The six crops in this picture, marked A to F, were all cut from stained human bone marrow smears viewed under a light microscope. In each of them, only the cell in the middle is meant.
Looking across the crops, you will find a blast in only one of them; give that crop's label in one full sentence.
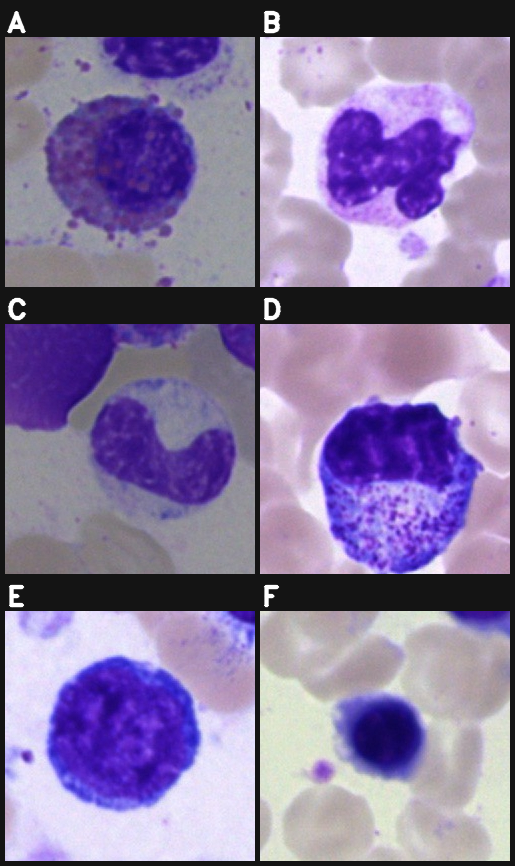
Among all the crops given here, the one with a blast is crop E.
